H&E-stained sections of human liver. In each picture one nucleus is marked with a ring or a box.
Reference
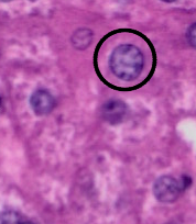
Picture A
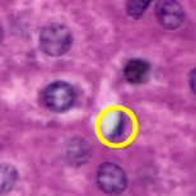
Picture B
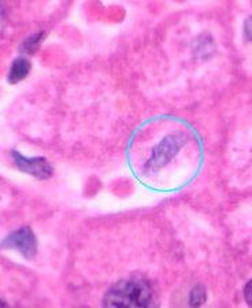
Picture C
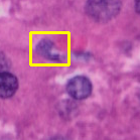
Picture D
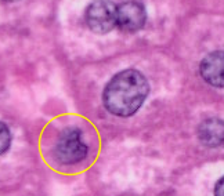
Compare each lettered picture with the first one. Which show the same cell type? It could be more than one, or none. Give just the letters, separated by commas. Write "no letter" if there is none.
no letter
